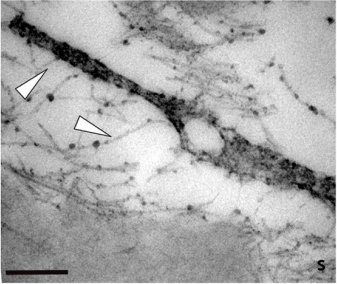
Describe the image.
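Fine thread-like filaments arise from this band and extend into the pale surrounding matrix. Small dense granules are strung along these filaments. A finely striated, fibrillar area lies toward the lower part of the field.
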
